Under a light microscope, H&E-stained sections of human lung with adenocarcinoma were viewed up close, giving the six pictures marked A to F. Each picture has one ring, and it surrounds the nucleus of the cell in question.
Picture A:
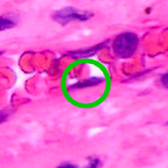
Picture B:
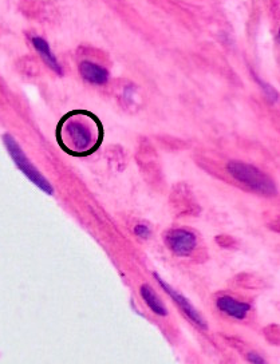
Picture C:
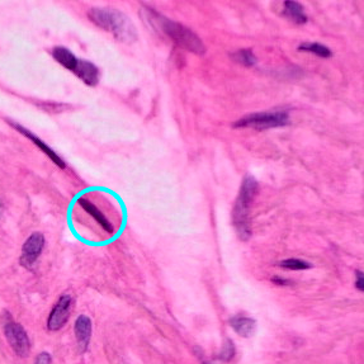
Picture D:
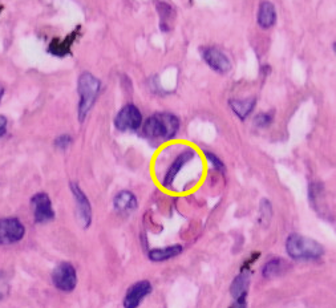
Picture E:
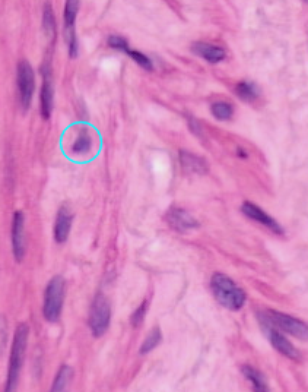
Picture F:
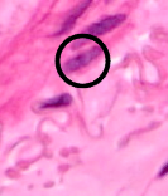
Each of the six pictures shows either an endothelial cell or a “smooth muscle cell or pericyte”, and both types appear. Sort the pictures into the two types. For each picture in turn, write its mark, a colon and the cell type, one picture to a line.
A: endothelial cell
B: smooth muscle cell or pericyte
C: smooth muscle cell or pericyte
D: endothelial cell
E: smooth muscle cell or pericyte
F: smooth muscle cell or pericyte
